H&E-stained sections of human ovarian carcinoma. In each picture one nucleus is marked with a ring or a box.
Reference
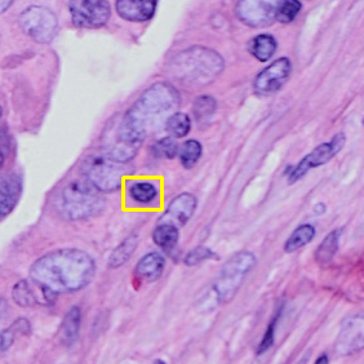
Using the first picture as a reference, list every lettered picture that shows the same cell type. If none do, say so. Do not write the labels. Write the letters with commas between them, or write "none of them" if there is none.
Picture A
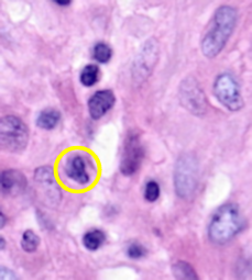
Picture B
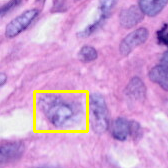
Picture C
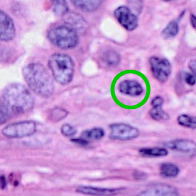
A, C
